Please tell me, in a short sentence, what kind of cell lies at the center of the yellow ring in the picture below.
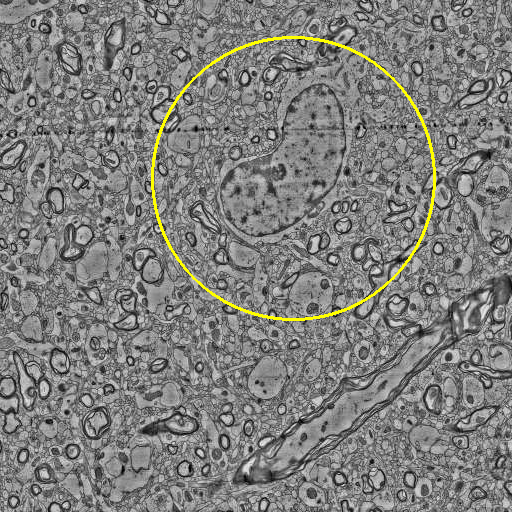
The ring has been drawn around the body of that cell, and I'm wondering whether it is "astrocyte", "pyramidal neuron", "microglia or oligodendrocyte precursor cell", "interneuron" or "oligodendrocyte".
The cell at the center of the ring is a microglial cell or oligodendrocyte precursor cell.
